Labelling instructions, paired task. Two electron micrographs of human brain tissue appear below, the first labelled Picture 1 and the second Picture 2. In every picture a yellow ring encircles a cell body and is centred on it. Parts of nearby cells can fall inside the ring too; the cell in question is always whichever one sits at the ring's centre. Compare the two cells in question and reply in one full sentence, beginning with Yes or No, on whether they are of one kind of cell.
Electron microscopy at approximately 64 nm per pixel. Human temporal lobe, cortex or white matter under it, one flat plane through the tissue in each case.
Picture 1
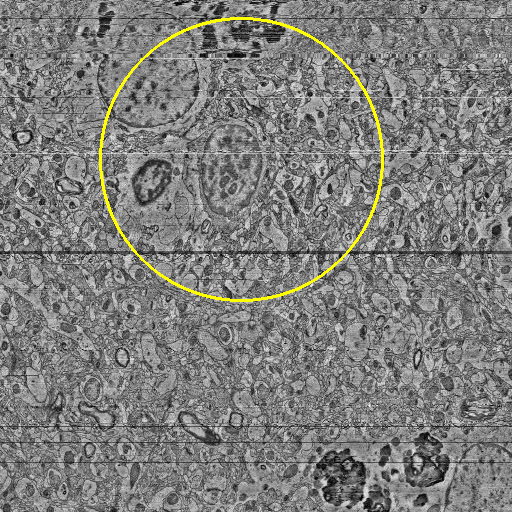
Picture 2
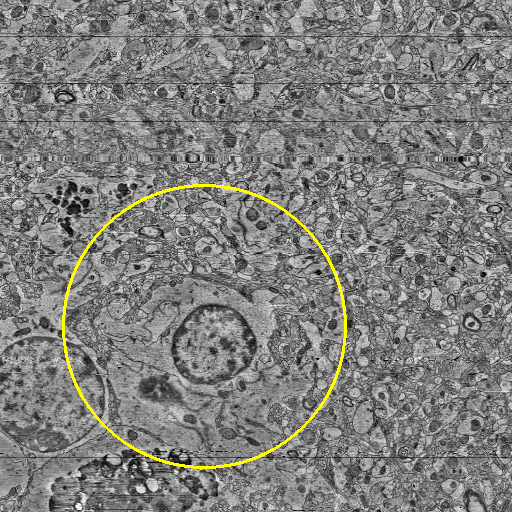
No, the two cells at the ring centres in Picture 1 and Picture 2 are of two kinds.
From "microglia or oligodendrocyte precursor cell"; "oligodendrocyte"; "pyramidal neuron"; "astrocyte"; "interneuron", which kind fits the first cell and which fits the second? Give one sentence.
The cell marked in the first picture is an oligodendrocyte, and the one marked in the second is an astrocyte.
